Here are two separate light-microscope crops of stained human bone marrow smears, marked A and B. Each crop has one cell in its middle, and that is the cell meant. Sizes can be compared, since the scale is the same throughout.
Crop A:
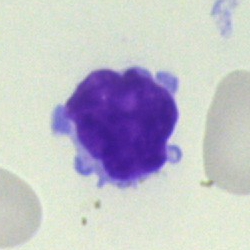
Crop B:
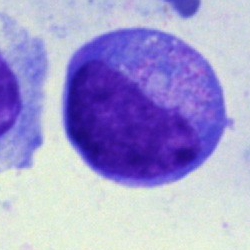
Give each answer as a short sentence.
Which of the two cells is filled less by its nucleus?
In crop B the nucleus takes up the smaller part of its cell.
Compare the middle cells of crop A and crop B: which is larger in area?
It is the cell in crop B, about 1.5 times as large in area as the cell in crop A.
